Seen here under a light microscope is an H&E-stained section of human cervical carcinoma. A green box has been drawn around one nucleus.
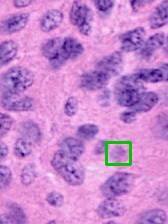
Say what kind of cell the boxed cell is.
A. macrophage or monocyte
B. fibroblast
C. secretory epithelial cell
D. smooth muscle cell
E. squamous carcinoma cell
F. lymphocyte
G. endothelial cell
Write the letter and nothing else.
E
